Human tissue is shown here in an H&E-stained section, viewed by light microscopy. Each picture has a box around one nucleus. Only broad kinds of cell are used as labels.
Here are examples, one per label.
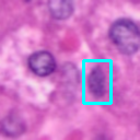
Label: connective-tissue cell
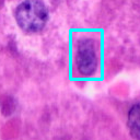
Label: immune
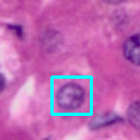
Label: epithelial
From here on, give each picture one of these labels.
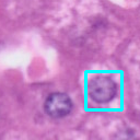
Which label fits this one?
epithelial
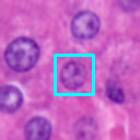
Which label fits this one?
epithelial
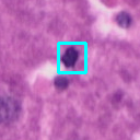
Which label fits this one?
connective-tissue cell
